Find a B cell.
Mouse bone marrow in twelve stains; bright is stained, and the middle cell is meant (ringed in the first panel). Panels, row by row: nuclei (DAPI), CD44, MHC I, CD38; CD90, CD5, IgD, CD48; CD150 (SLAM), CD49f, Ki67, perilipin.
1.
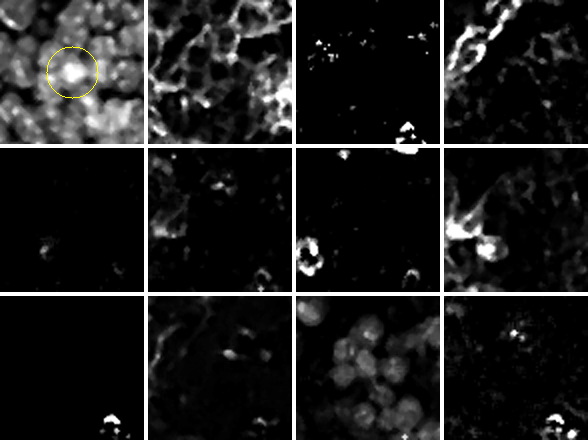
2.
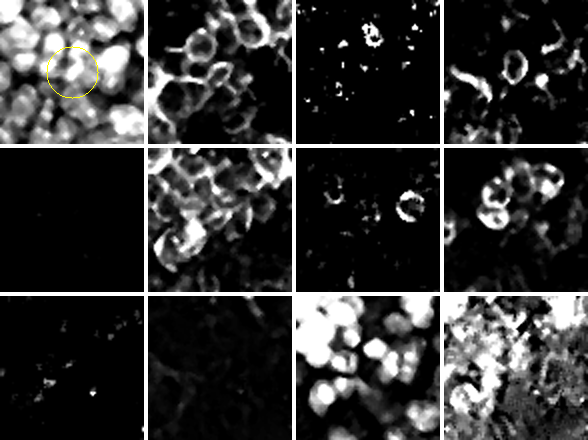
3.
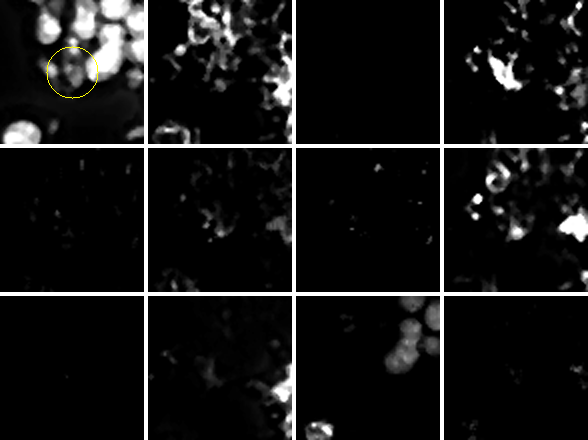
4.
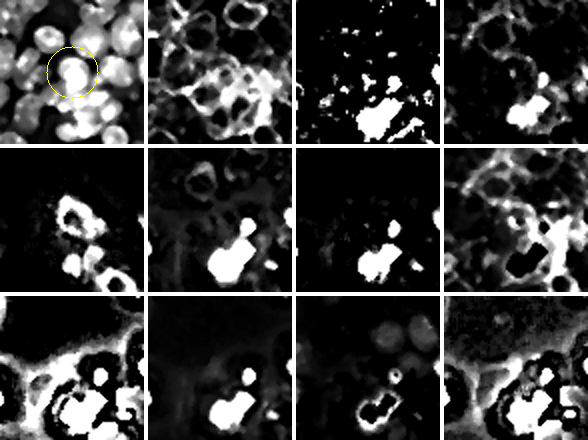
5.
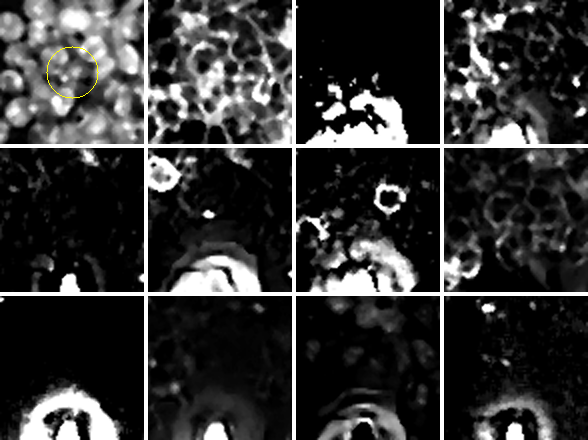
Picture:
2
